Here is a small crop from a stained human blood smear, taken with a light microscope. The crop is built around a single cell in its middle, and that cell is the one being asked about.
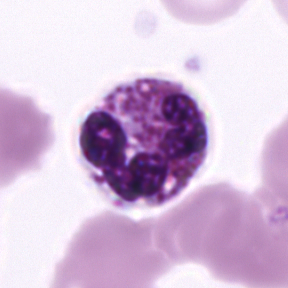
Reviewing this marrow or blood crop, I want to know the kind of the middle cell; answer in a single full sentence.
The cell featured at the centre of this crop is an eosinophil.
